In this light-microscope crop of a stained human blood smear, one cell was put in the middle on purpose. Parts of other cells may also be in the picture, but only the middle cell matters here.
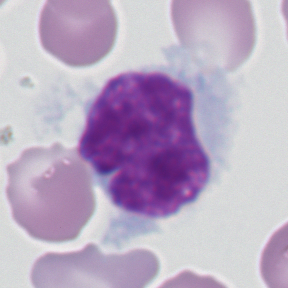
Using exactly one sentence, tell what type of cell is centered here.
To answer, the cell in the center of the crop is a hairy cell.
